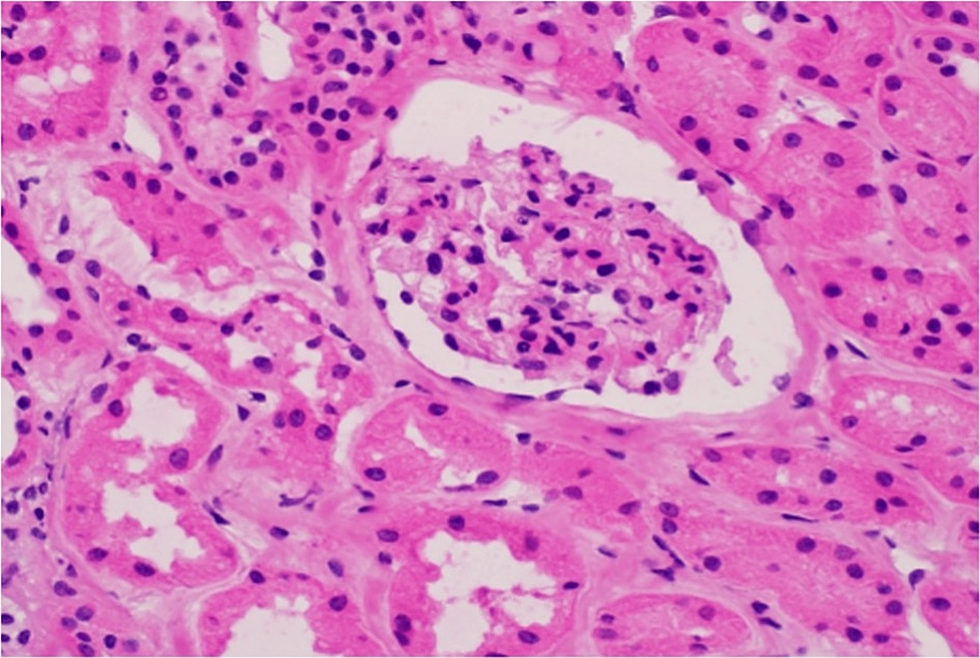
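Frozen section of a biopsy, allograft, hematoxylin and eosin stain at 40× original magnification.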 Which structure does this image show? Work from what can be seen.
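A round tuft of cells sits in the center inside a clear space. The tuft is surrounded by a thin capsule. Tubules with pink cytoplasm surround it. So: glomerular capillaries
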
